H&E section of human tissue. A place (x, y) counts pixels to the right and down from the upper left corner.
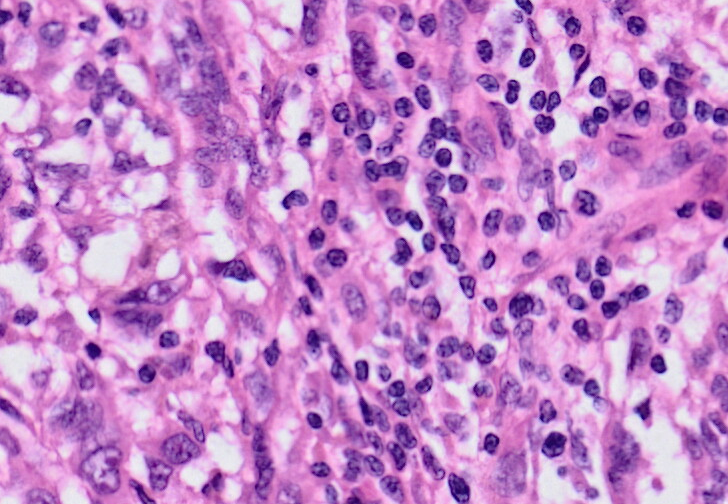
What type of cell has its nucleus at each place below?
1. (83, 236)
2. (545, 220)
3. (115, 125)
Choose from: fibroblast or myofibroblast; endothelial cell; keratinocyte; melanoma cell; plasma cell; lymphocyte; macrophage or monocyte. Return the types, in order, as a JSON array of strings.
["melanoma cell", "lymphocyte", "melanoma cell"]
